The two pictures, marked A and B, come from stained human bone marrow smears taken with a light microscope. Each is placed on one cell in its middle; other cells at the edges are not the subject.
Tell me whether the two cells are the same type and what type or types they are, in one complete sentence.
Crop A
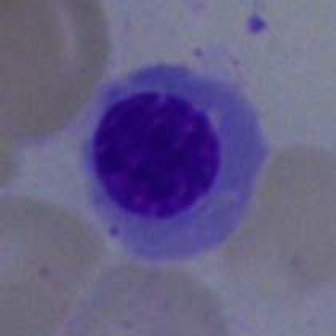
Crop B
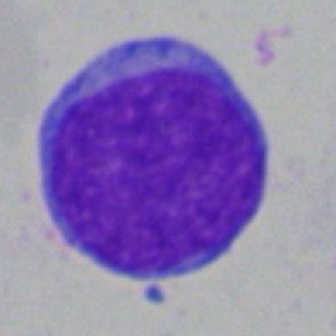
No, the cell in crop A is an erythroblast, and the cell in crop B is a lymphocyte.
